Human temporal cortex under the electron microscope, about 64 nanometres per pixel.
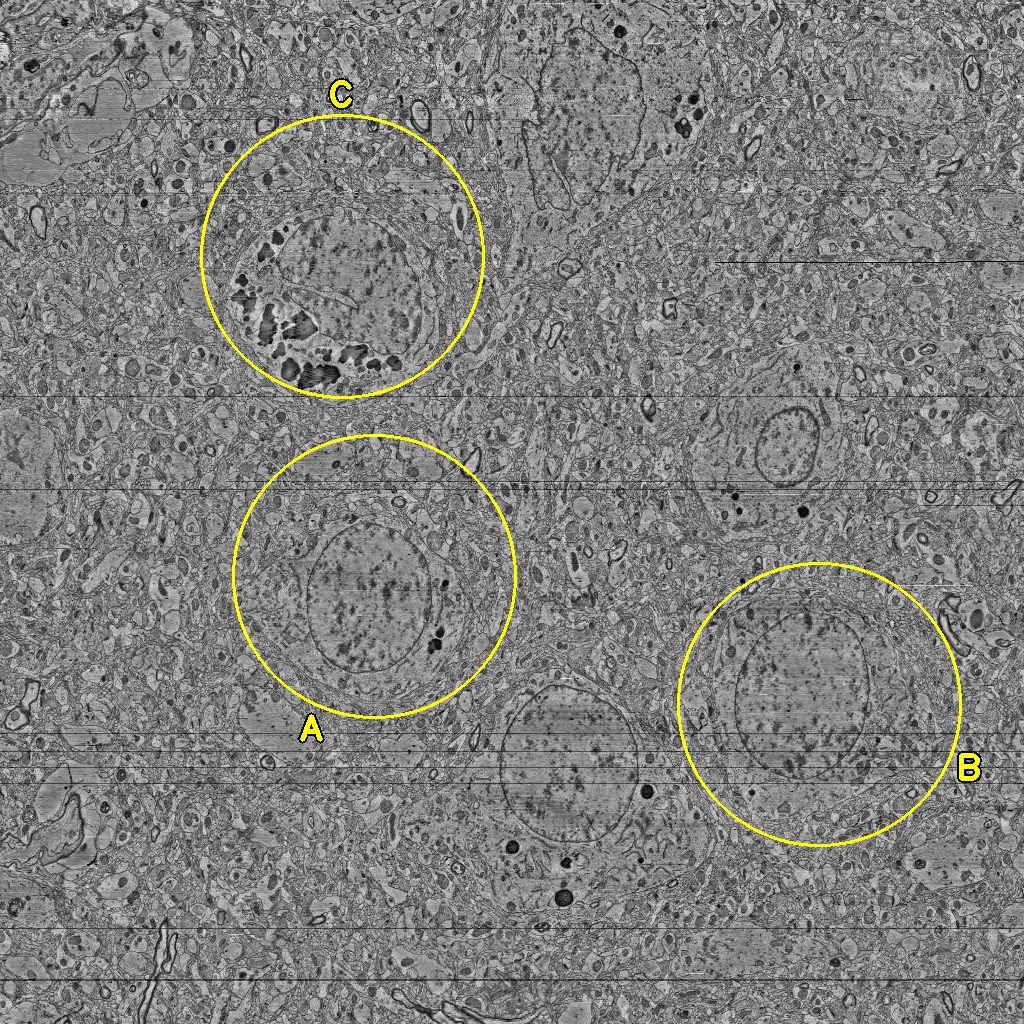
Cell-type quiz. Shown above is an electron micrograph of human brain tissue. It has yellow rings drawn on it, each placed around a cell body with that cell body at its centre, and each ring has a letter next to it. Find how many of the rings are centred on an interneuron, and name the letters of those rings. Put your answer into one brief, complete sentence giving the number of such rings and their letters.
Of the yellow rings shown, only one centres on an interneuron, and its label is C.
